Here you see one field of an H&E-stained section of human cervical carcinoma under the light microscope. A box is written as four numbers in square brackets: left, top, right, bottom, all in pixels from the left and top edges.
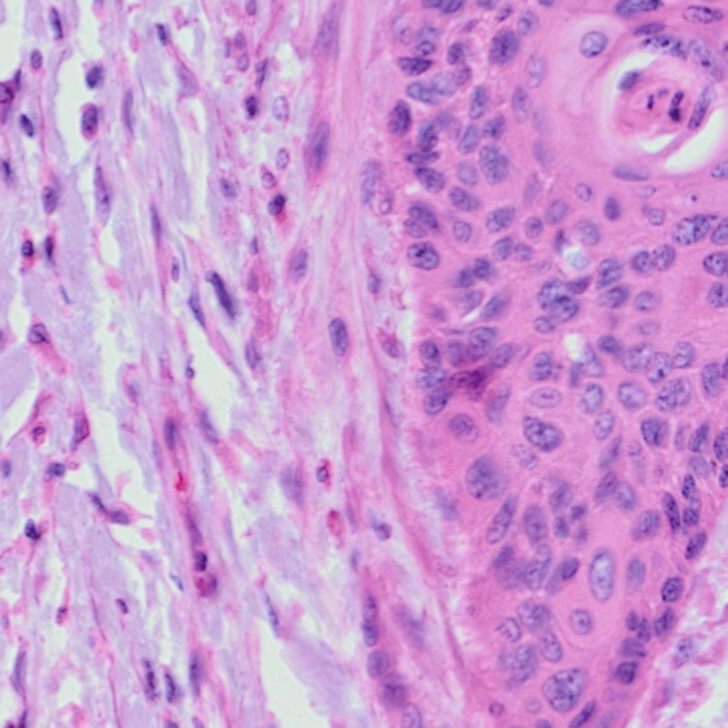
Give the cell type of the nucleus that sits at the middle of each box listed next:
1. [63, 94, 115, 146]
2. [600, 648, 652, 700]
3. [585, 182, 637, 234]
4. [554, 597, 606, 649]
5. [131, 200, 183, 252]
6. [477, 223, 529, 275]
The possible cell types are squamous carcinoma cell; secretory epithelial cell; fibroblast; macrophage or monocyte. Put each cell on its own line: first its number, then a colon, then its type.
1: macrophage or monocyte
2: squamous carcinoma cell
3: squamous carcinoma cell
4: squamous carcinoma cell
5: fibroblast
6: squamous carcinoma cell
